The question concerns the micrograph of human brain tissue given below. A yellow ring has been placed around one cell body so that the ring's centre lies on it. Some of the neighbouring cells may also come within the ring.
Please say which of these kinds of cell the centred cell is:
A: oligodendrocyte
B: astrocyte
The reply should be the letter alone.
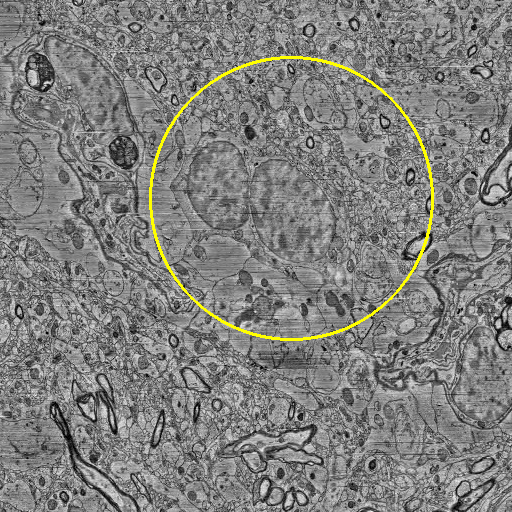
A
